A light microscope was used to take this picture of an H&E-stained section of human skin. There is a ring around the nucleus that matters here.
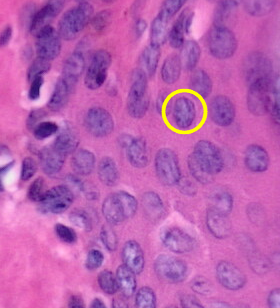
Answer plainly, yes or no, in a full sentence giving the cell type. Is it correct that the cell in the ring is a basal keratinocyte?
No, within this section, the cell in the ring is categorized as a suprabasal keratinocyte rather than a basal keratinocyte.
